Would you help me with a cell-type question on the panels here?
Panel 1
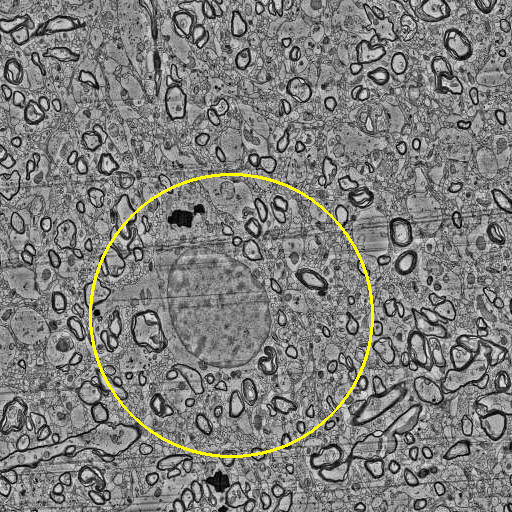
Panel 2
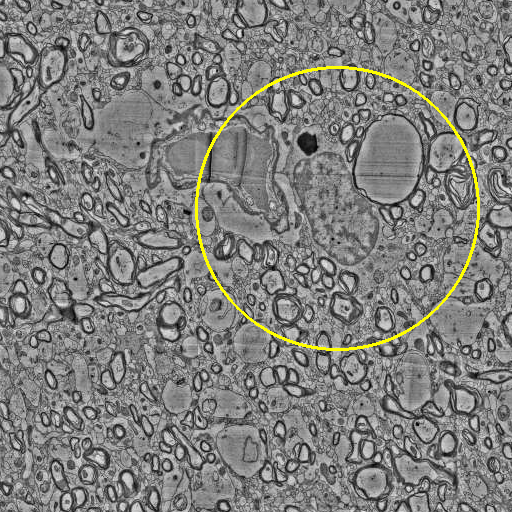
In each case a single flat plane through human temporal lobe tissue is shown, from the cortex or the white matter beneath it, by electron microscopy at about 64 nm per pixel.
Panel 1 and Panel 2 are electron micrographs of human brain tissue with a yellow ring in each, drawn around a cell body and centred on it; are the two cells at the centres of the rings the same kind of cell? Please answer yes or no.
yes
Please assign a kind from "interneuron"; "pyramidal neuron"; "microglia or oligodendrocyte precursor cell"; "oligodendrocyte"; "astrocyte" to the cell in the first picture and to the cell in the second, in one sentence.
The first and the second cell are each an oligodendrocyte.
